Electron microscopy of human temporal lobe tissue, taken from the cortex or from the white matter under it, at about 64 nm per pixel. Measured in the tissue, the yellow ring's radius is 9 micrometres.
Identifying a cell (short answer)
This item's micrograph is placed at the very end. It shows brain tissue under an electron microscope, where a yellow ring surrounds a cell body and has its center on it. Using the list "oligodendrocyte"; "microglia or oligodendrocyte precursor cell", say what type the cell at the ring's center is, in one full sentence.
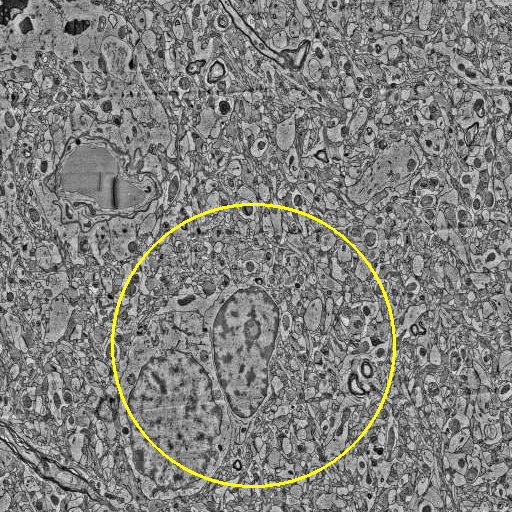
This picture shows a microglial cell or oligodendrocyte precursor cell at the center of the yellow ring drawn on it.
